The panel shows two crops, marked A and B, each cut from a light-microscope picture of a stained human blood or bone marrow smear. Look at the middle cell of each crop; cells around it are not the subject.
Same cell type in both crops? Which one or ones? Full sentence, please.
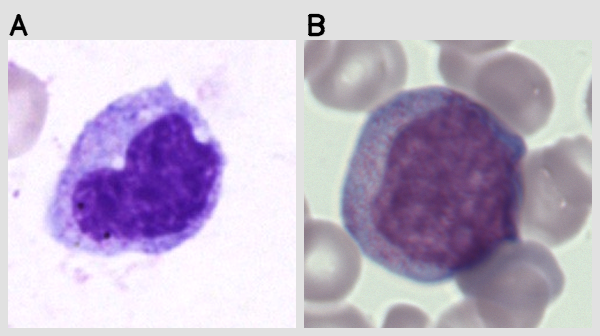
No, the cell in crop A is a monocyte, and the cell in crop B is a promyelocyte.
